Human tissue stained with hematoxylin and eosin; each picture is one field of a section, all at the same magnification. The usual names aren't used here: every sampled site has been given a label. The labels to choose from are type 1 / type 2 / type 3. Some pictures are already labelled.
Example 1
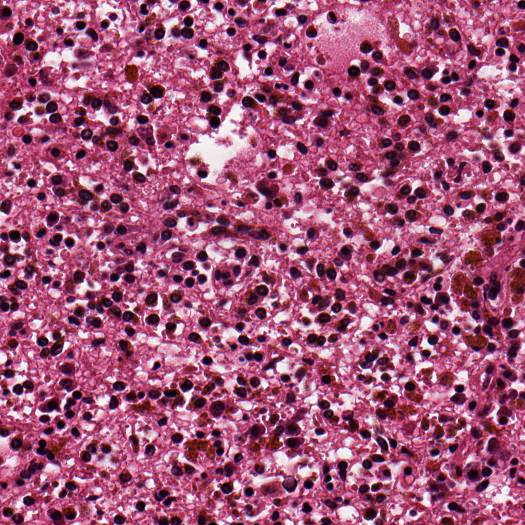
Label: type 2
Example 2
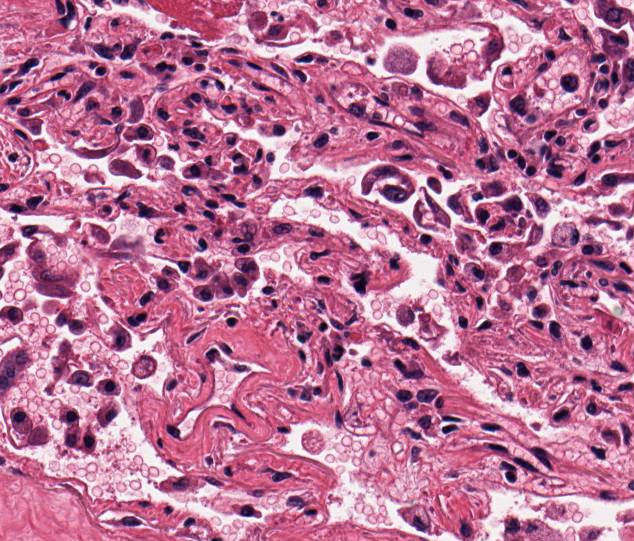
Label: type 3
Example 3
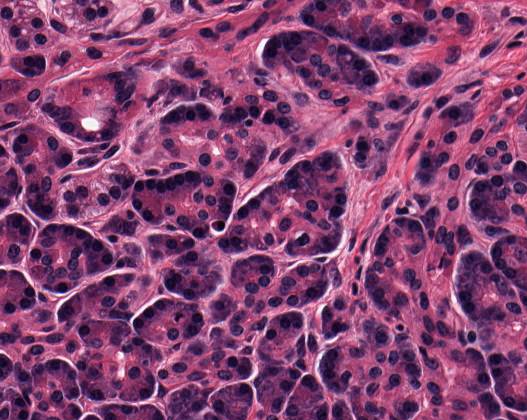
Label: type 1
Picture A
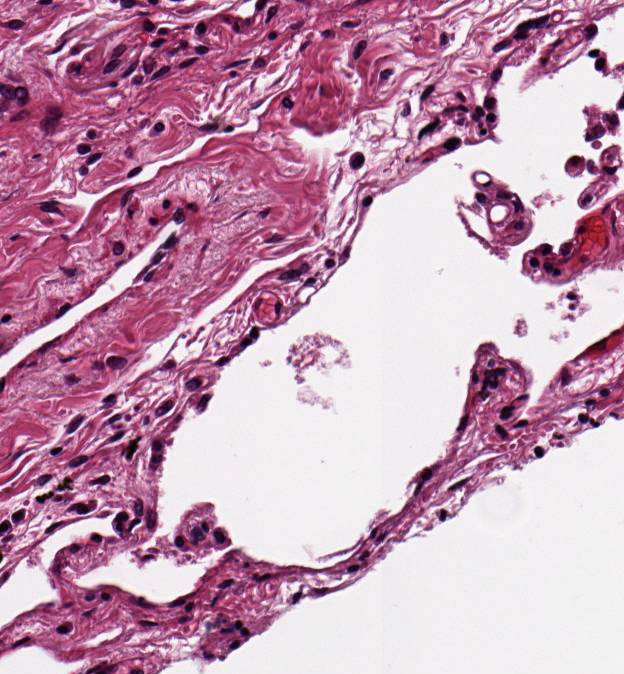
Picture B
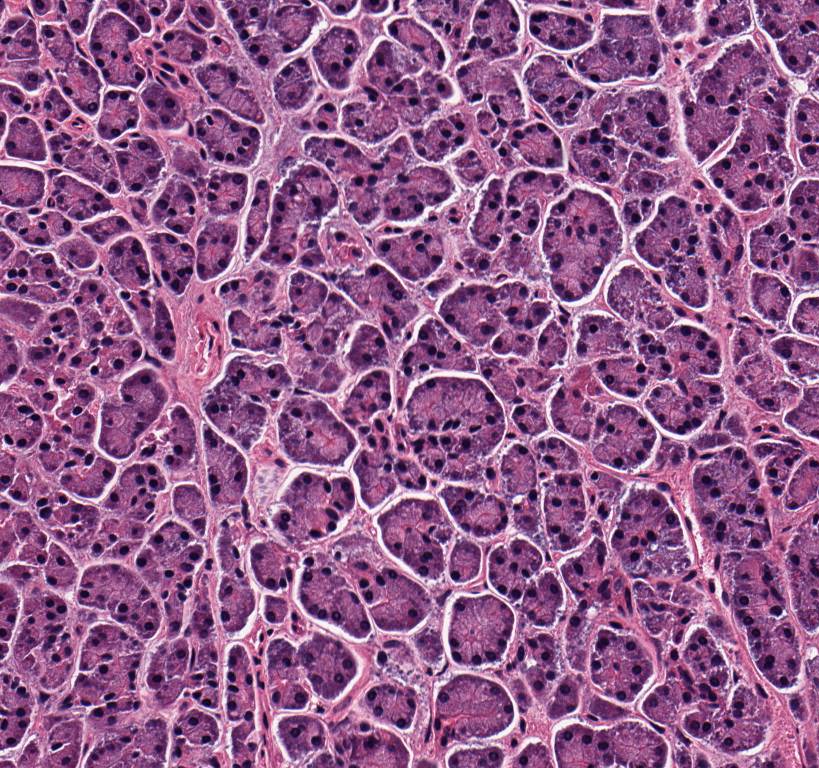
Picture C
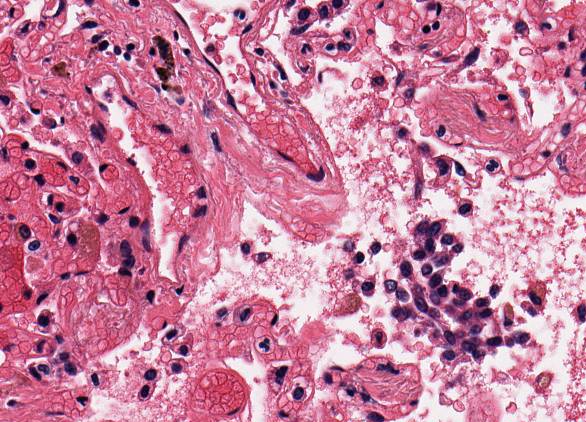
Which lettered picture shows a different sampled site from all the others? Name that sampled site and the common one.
Picture B: type 1. All others: type 3.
